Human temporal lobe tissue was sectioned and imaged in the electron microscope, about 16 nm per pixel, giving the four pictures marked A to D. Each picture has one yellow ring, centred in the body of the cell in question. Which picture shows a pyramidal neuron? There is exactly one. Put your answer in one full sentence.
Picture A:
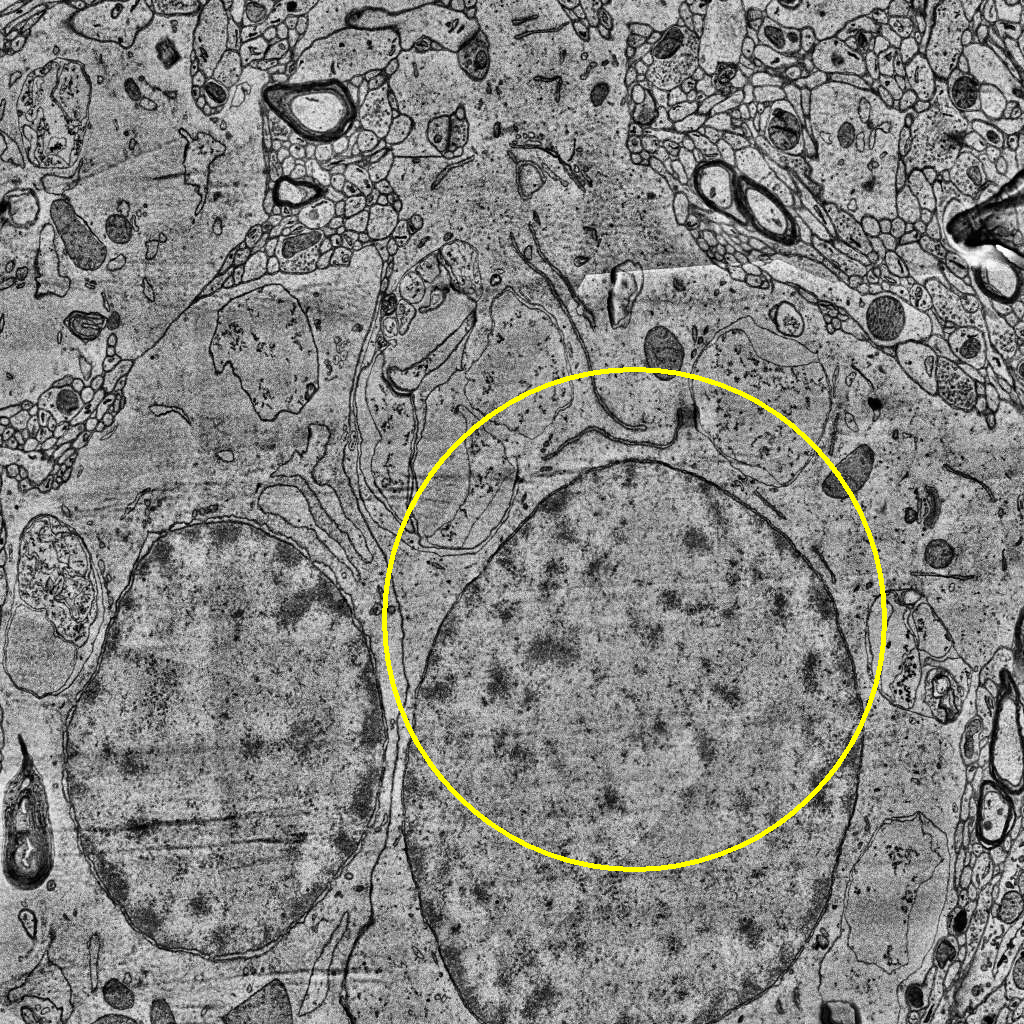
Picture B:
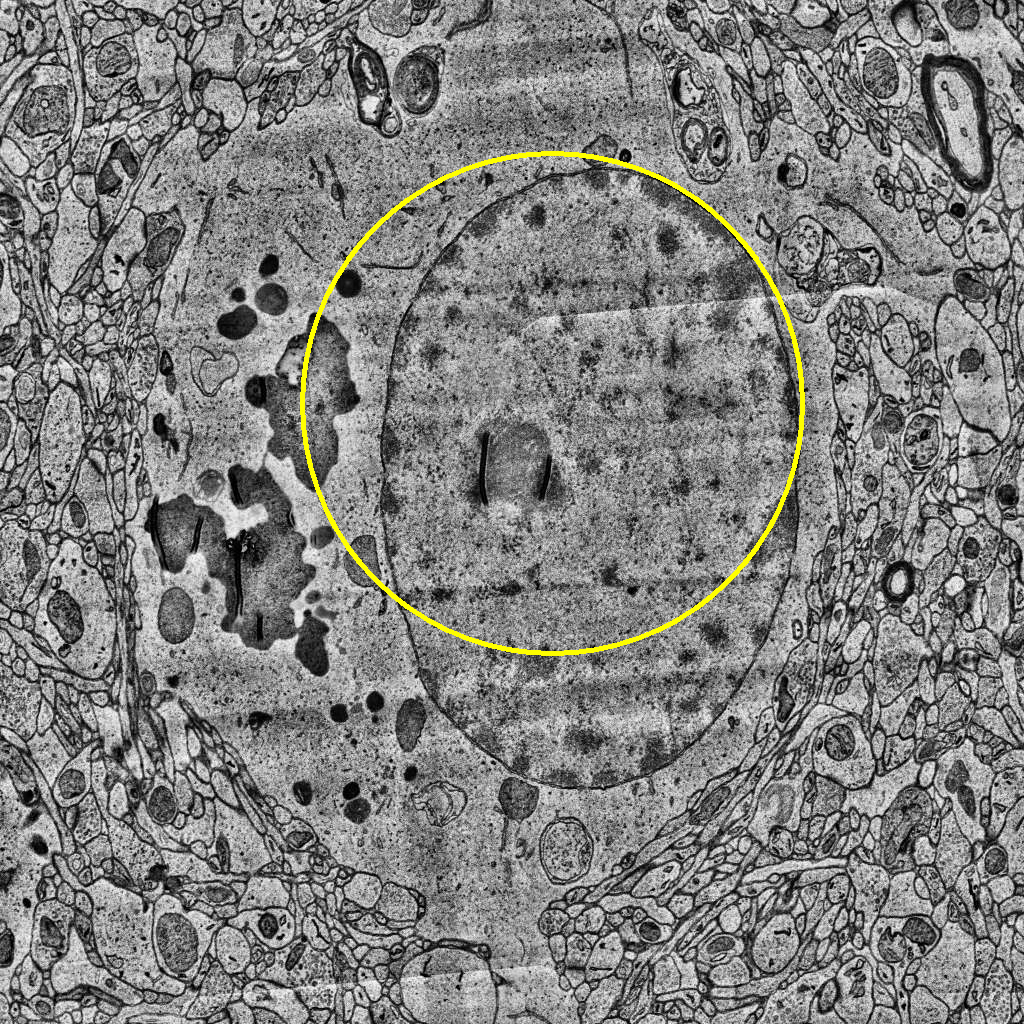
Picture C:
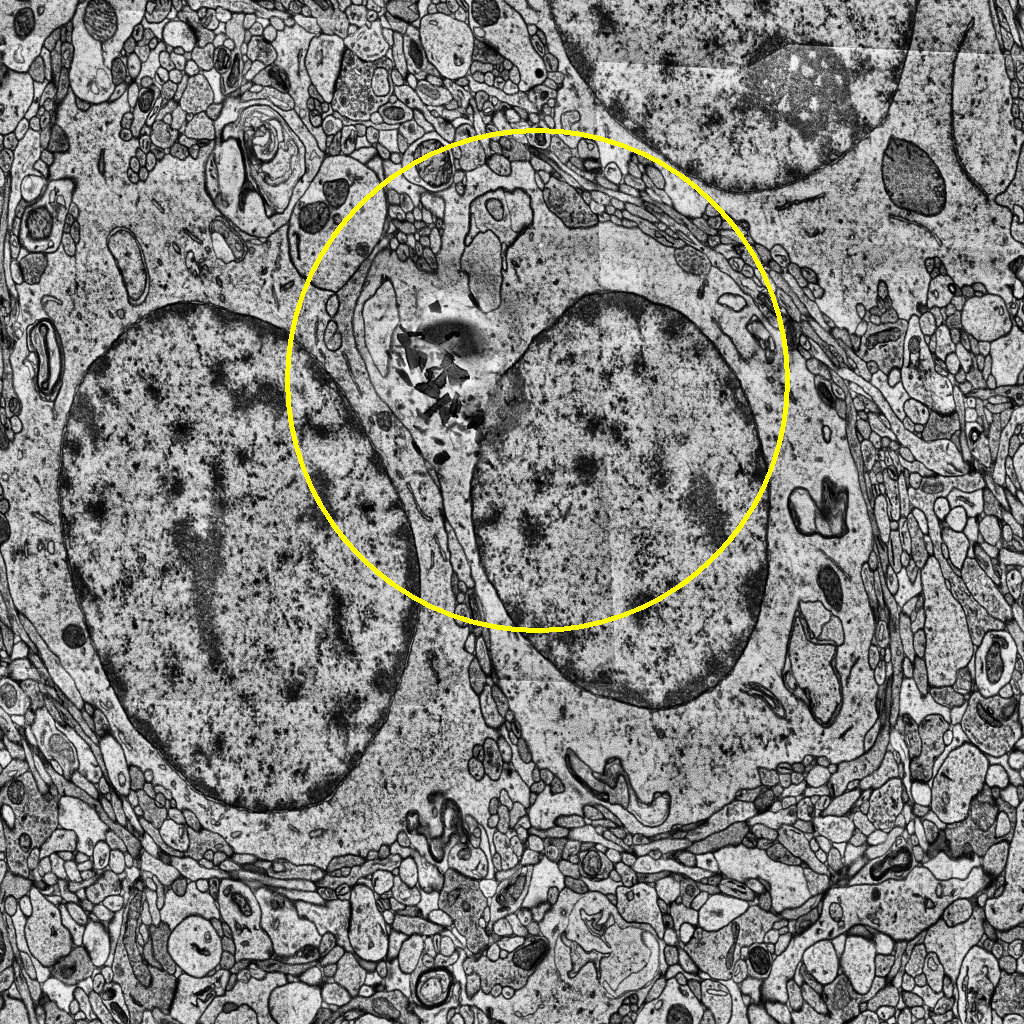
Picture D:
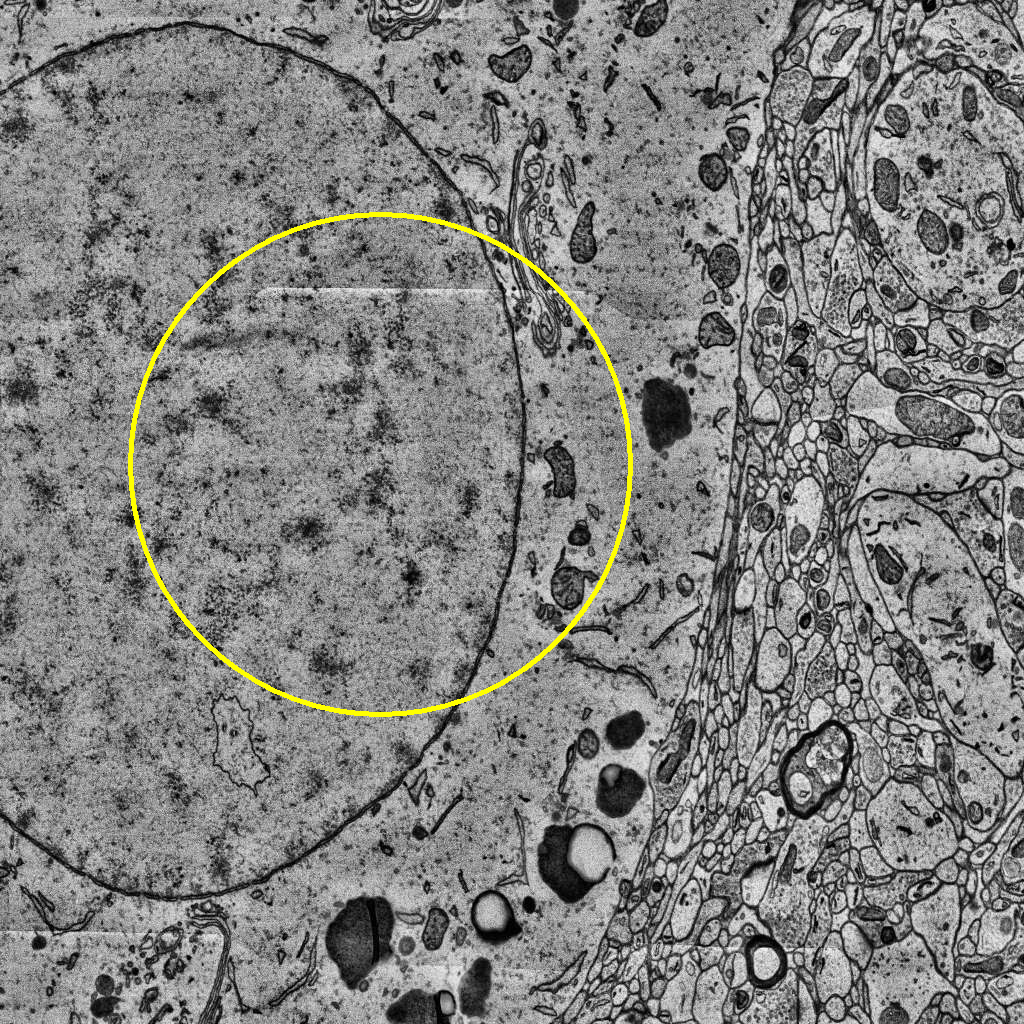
It is picture D that shows the pyramidal neuron.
